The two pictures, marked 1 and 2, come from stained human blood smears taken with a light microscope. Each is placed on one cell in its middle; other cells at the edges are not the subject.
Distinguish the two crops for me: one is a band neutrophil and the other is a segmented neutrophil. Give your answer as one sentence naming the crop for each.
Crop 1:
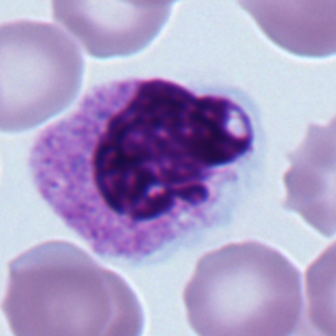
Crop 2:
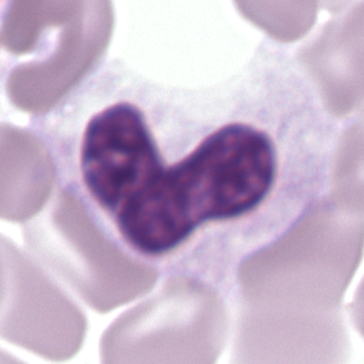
Crop 1 is identified as a segmented neutrophil, and crop 2 is identified as a band neutrophil.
